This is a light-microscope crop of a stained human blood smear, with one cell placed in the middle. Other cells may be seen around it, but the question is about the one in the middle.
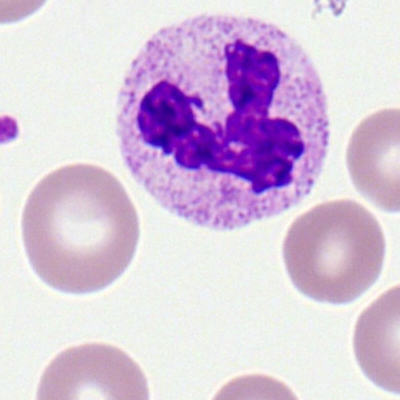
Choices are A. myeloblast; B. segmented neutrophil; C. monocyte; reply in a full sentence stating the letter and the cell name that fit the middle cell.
The correct option, B, names the middle cell as a segmented neutrophil.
